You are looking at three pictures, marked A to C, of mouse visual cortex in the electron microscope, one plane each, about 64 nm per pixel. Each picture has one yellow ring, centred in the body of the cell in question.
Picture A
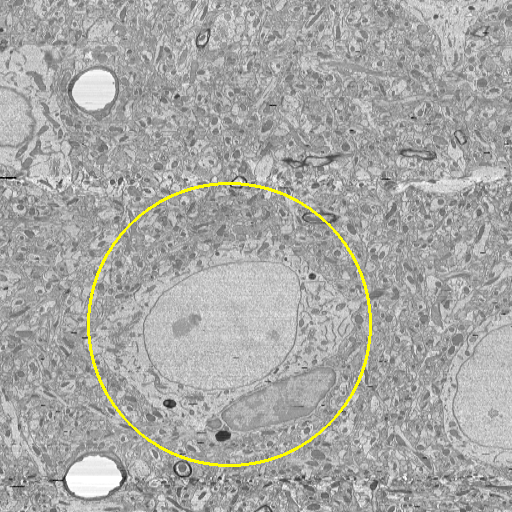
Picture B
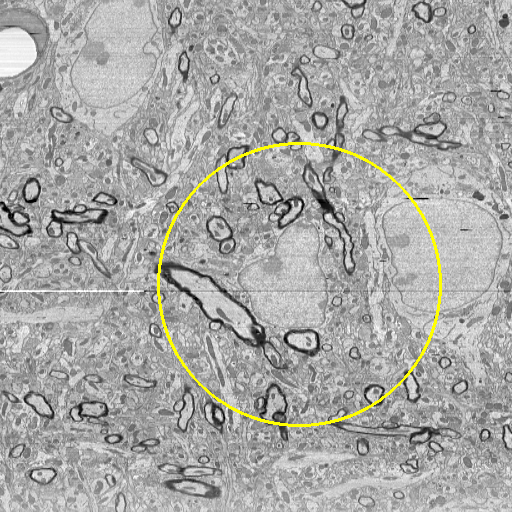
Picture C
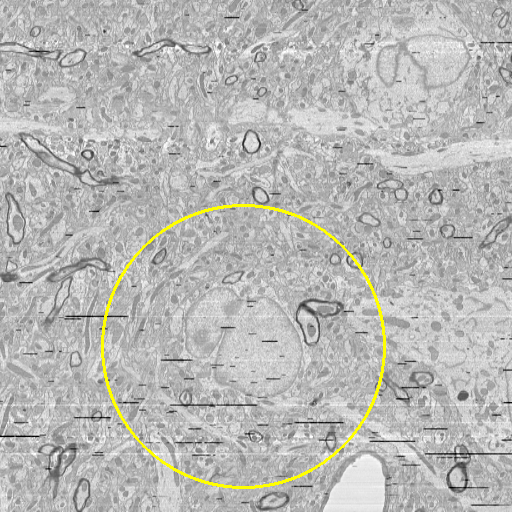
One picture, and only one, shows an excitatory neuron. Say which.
It is picture A that shows the excitatory neuron.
